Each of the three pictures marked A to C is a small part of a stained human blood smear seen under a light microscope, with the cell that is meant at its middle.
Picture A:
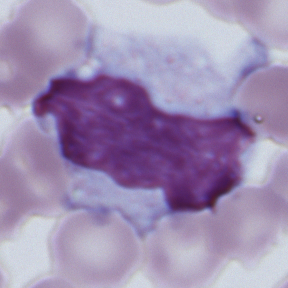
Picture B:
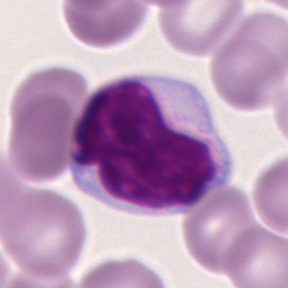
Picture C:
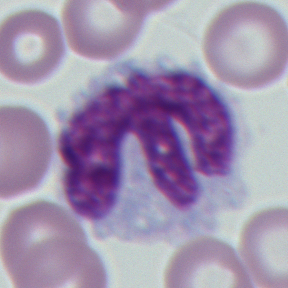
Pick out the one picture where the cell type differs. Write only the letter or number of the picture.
B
